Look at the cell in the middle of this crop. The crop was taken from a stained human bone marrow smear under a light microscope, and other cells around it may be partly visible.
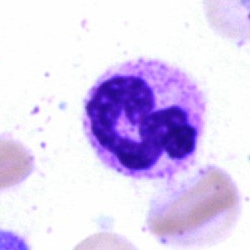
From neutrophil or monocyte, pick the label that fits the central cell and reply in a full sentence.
The crop centres on a single cell, and that cell is a neutrophil.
